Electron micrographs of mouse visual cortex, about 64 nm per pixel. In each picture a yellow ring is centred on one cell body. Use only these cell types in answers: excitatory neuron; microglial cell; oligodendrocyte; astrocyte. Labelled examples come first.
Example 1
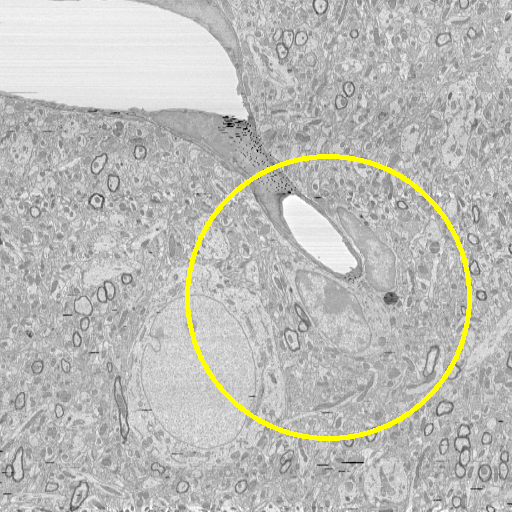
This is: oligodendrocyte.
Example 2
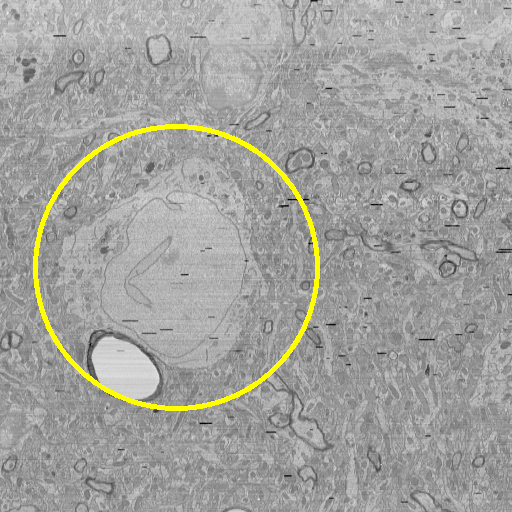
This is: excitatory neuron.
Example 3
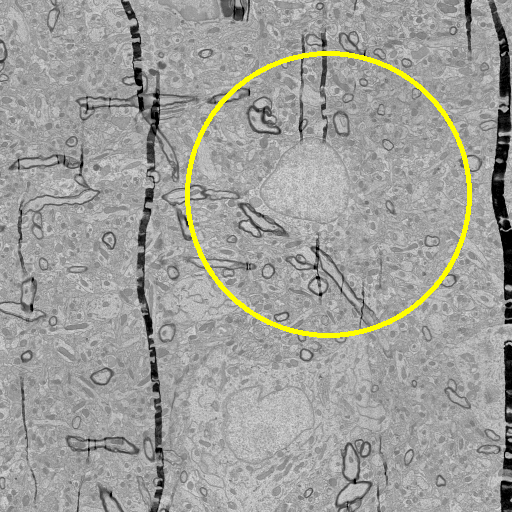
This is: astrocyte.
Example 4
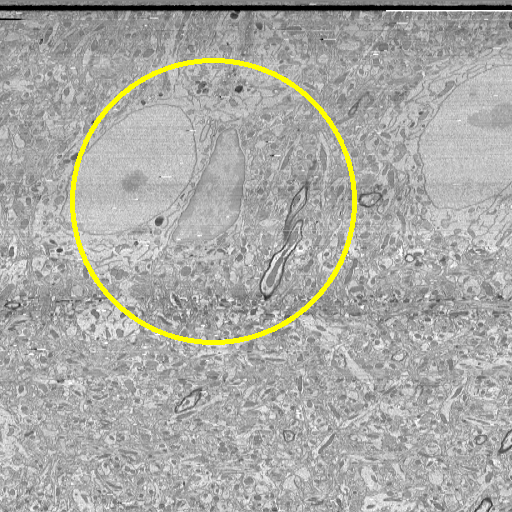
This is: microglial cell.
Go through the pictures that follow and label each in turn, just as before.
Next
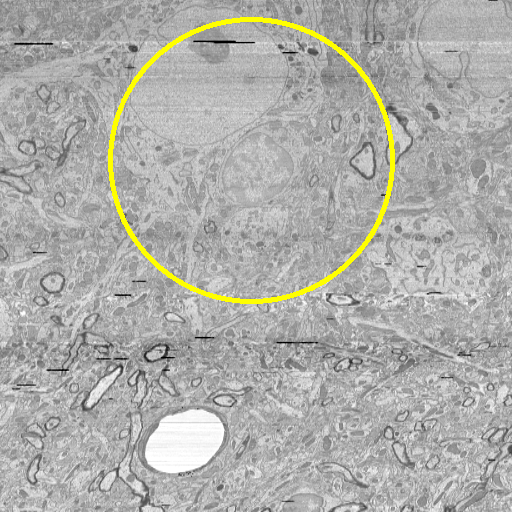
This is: oligodendrocyte.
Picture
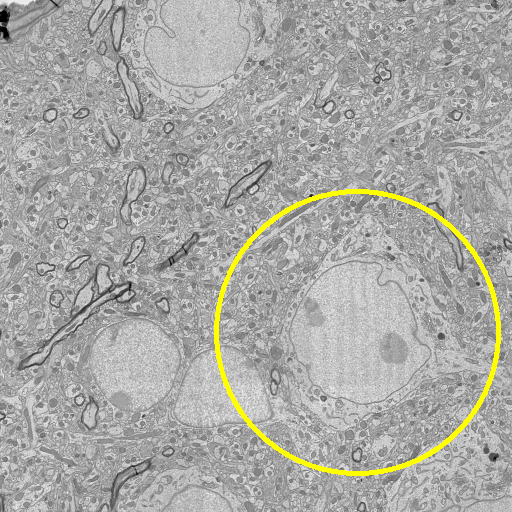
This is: excitatory neuron.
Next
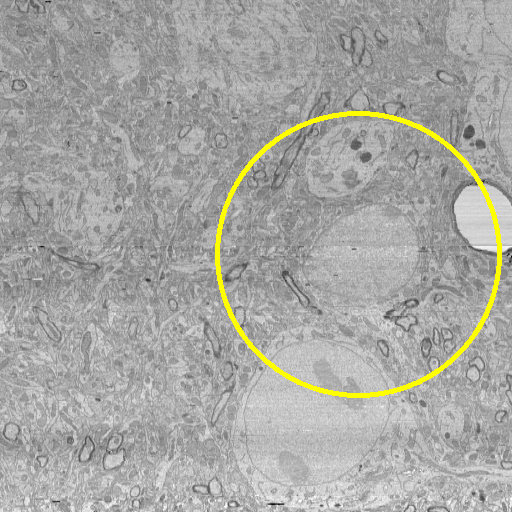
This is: astrocyte.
